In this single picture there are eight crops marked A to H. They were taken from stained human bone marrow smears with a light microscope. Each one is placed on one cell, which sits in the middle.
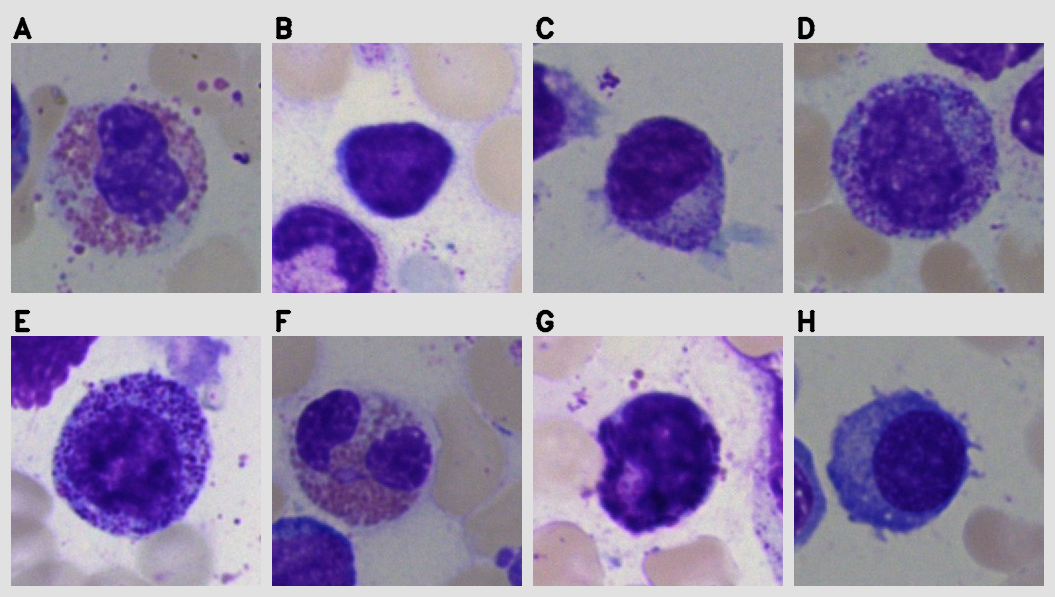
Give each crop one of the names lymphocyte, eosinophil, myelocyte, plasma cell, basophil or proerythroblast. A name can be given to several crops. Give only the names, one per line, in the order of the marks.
eosinophil
lymphocyte
myelocyte
myelocyte
myelocyte
eosinophil
basophil
plasma cell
